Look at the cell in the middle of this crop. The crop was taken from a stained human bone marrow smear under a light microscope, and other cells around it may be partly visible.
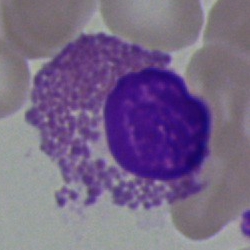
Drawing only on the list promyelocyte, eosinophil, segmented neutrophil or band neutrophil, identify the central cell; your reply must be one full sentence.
Positioned in the middle of the crop is an eosinophil.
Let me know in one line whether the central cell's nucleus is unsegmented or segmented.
If you check the nucleus, you will find one compact mass, round, oval or kidney-shaped.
